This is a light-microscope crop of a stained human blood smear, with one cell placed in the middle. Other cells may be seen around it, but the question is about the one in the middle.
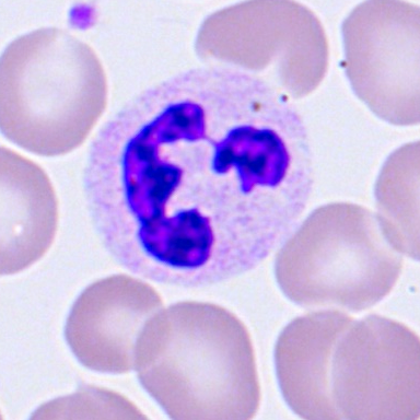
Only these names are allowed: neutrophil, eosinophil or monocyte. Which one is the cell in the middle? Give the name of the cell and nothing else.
neutrophil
